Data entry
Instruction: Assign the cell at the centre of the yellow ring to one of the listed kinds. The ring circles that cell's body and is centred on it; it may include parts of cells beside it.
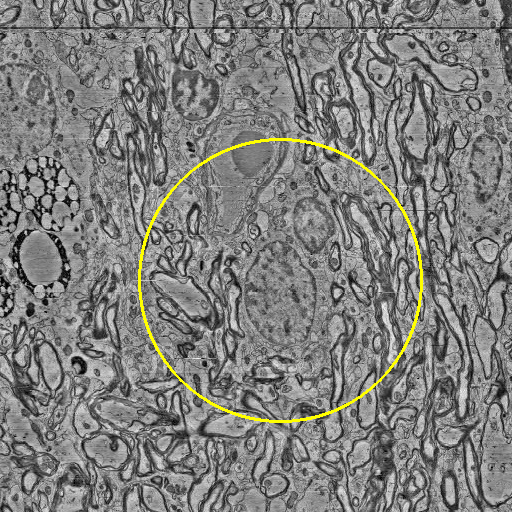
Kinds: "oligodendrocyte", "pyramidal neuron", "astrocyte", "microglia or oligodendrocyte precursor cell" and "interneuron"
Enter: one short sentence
The centre of the ring falls on an oligodendrocyte.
